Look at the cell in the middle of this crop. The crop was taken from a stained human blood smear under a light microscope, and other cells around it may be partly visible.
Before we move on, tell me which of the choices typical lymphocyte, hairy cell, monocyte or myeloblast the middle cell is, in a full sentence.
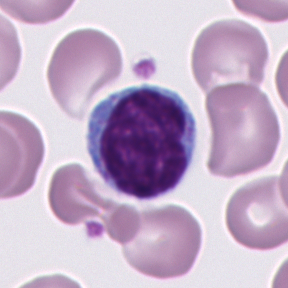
What sits at the centre of this crop is a typical lymphocyte.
